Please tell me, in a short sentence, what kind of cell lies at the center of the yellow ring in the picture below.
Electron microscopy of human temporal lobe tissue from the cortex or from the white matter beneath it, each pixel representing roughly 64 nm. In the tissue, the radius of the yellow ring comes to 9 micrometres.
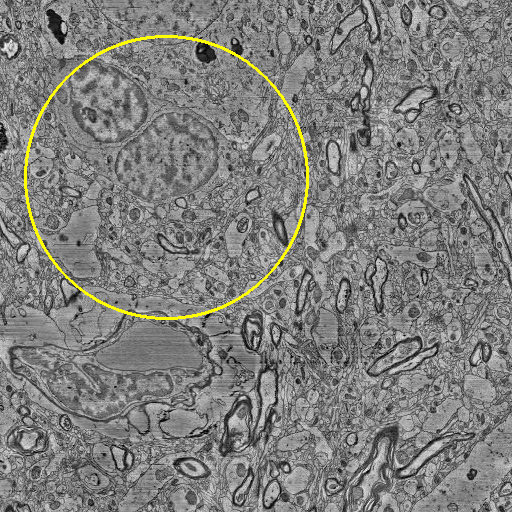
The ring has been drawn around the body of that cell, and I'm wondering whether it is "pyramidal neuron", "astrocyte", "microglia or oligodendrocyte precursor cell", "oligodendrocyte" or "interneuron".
The cell at the center of the ring is an oligodendrocyte.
